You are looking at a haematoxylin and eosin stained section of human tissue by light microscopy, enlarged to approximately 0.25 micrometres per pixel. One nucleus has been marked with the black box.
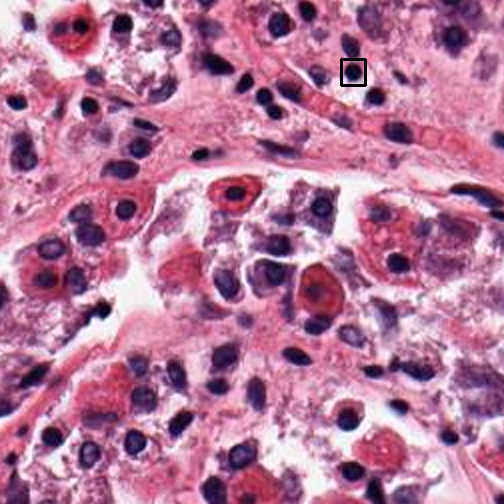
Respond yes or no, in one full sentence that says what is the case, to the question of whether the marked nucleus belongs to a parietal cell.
No, the marked nucleus is not housed in a parietal cell but in a supporting cell.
